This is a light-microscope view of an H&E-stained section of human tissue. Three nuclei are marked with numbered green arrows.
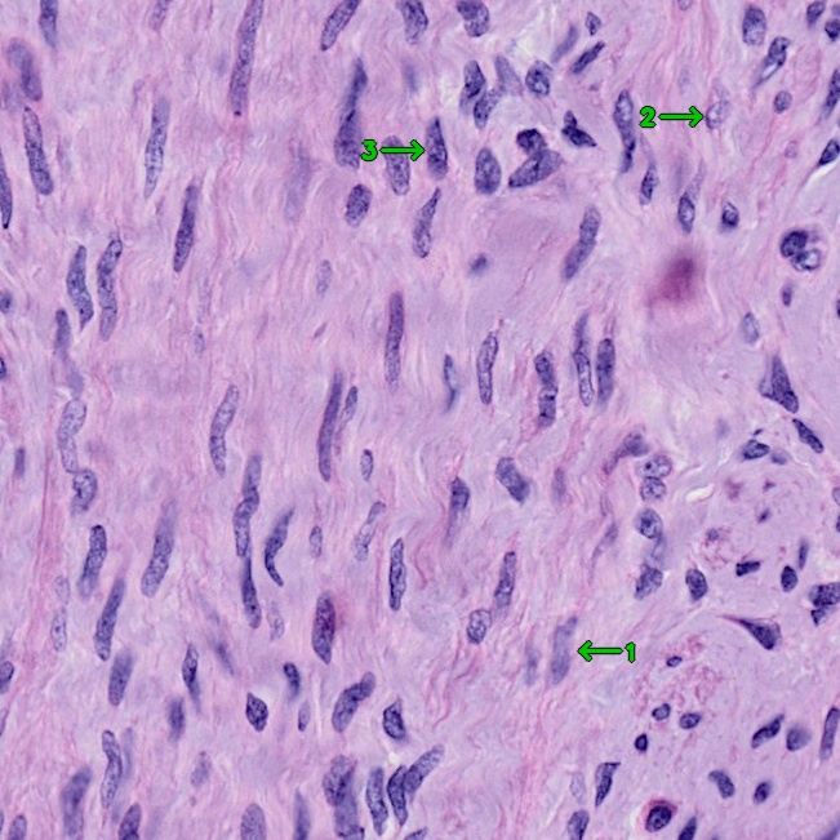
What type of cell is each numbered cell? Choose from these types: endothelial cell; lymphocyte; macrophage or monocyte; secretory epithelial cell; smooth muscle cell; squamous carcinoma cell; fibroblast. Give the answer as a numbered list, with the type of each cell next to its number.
1. smooth muscle cell
2. smooth muscle cell
3. fibroblast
